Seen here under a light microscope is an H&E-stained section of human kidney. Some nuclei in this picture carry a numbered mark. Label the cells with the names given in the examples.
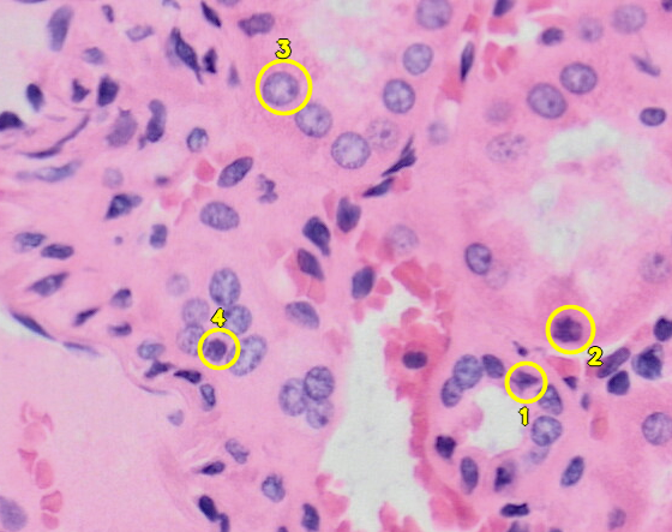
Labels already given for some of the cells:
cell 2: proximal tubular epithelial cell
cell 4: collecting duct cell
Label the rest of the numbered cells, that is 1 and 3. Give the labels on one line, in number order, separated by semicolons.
collecting duct cell; proximal tubular epithelial cell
